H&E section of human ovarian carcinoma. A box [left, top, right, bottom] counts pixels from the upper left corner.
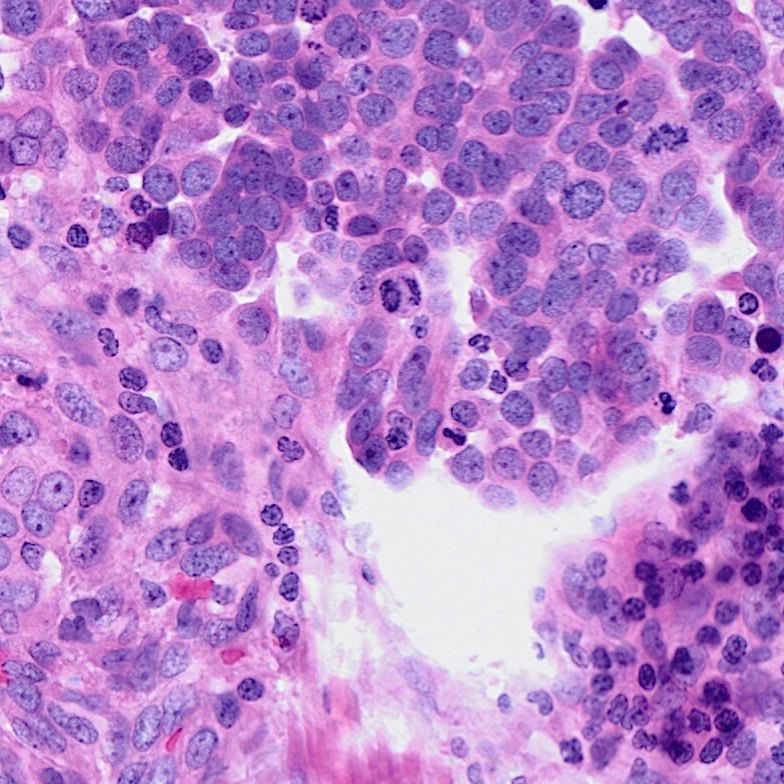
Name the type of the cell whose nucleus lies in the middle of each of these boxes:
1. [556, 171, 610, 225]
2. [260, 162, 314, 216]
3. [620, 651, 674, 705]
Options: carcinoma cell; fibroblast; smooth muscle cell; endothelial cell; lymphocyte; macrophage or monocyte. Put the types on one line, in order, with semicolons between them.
carcinoma cell; carcinoma cell; lymphocyte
